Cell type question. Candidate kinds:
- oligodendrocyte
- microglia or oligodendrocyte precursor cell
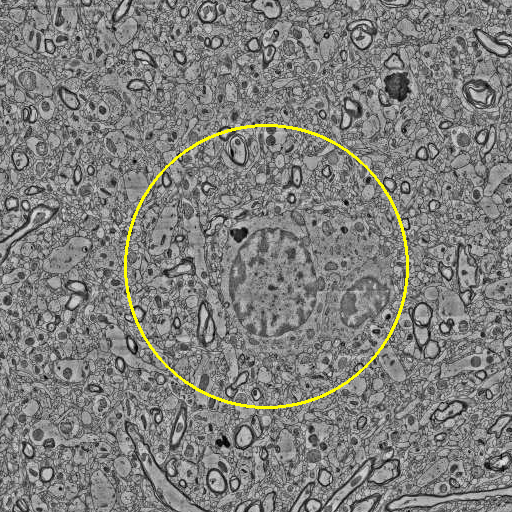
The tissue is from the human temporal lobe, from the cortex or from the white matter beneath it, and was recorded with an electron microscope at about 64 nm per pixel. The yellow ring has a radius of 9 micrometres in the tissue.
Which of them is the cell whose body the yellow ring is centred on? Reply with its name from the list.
oligodendrocyte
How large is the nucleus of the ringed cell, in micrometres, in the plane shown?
About 7 micrometres by about 6 micrometres in this plane.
